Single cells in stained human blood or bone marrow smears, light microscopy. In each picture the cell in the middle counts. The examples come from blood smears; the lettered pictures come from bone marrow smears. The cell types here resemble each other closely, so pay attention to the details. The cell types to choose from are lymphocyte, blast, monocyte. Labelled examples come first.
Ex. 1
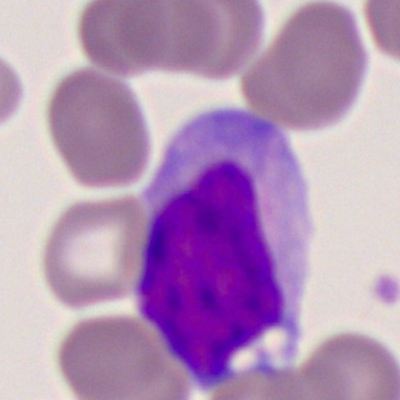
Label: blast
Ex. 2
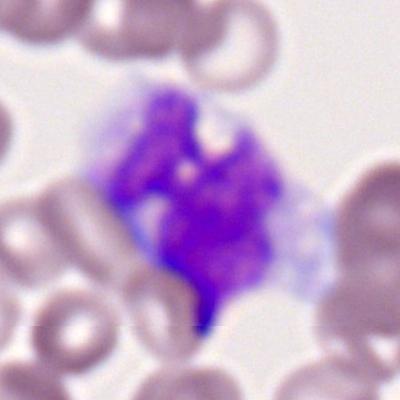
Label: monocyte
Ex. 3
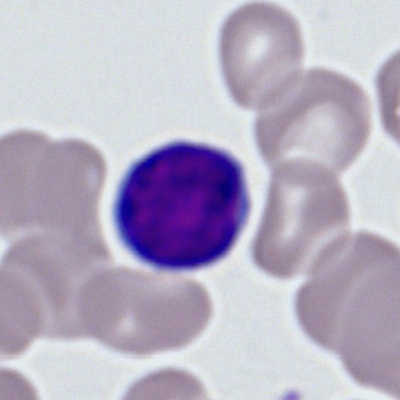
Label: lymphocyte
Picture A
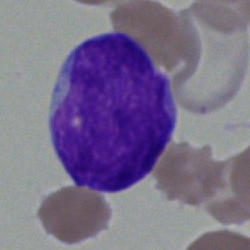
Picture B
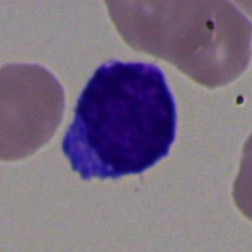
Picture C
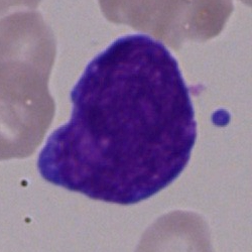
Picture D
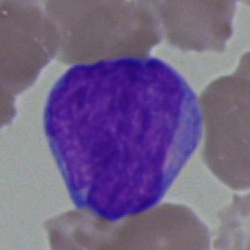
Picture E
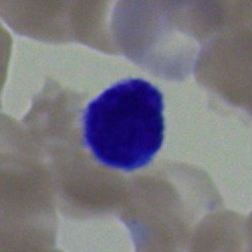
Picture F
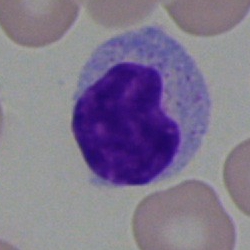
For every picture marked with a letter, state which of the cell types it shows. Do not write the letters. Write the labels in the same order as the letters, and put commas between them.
blast, blast, blast, blast, lymphocyte, lymphocyte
